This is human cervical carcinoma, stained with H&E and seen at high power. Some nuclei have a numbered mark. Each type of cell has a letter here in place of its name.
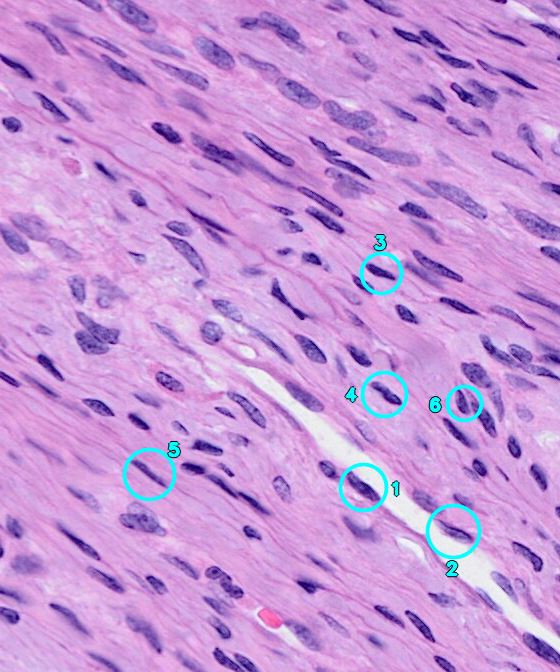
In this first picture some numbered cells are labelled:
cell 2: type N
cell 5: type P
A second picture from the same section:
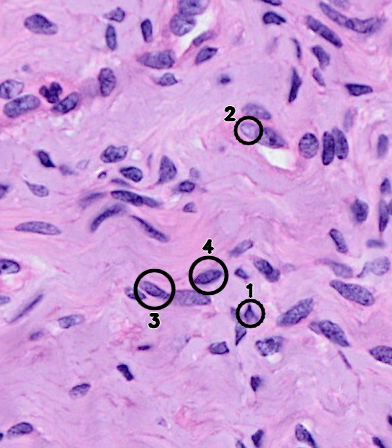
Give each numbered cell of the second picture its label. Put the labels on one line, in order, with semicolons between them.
type P; type N; type P; type P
